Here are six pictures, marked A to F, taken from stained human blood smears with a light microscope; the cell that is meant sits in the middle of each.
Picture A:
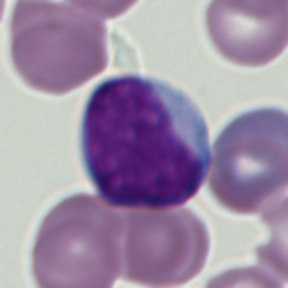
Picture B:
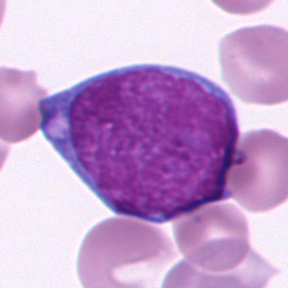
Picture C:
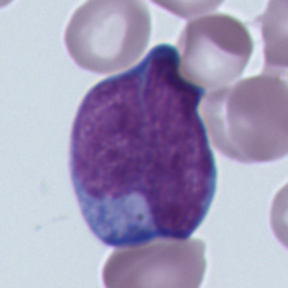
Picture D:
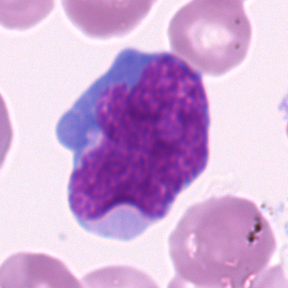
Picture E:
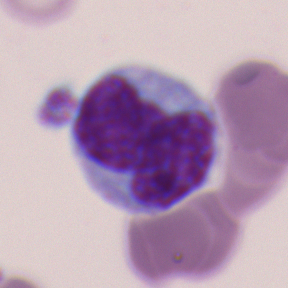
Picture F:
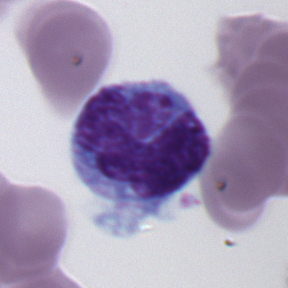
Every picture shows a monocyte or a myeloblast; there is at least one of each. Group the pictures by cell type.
A: myeloblast
B: myeloblast
C: myeloblast
D: myeloblast
E: monocyte
F: monocyte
